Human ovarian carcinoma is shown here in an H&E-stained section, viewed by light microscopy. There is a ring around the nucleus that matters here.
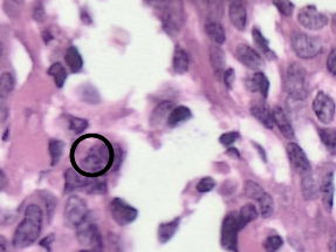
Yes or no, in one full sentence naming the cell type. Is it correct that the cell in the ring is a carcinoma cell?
Yes, as far as cell type goes, the cell in the ring is a carcinoma cell.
